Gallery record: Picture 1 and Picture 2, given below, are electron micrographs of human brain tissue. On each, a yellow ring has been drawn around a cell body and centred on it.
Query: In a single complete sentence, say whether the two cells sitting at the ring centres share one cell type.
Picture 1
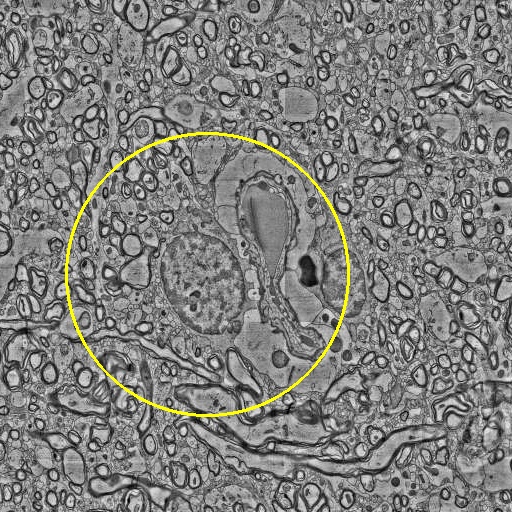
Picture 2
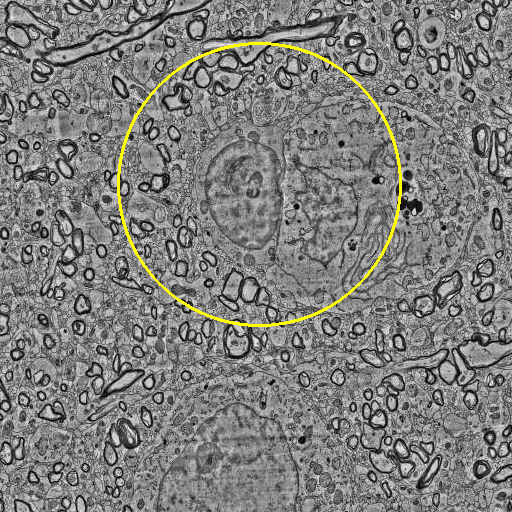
Yes, in both pictures the cell at the ring's centre is of one and the same type.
